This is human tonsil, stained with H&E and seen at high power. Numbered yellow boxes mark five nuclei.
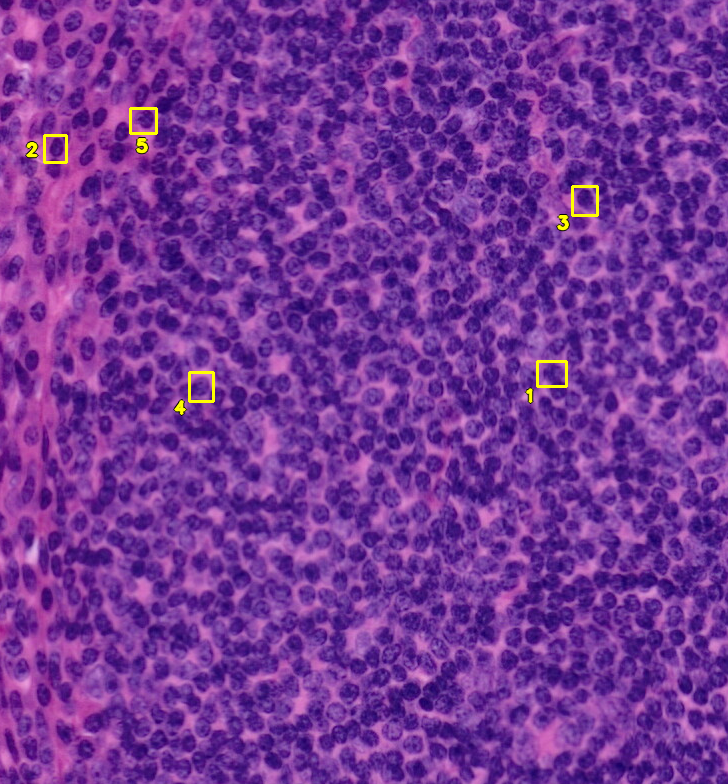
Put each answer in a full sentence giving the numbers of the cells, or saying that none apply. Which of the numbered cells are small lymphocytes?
The cells carrying the numbers 1, 3 and 4 are small lymphocytes.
